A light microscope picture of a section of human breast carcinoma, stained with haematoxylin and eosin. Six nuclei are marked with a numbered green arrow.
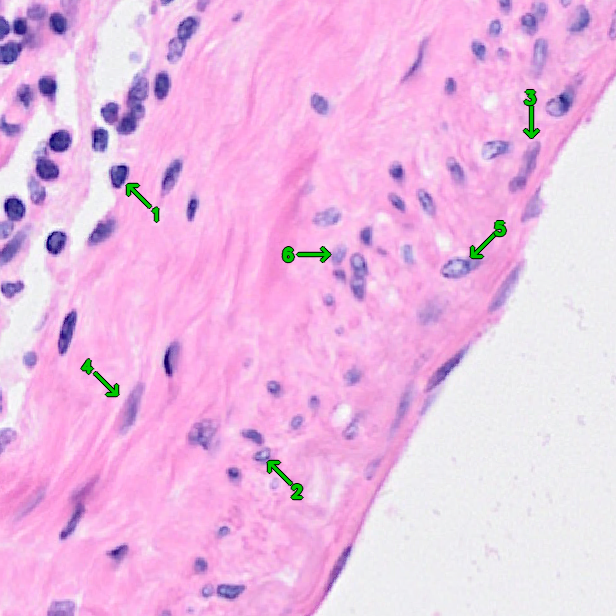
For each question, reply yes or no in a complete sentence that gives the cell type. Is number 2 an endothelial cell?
Yes, looking at number 2, that cell is an endothelial cell.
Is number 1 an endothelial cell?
No, rather than an endothelial cell, cell number 1 is a lymphocyte.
